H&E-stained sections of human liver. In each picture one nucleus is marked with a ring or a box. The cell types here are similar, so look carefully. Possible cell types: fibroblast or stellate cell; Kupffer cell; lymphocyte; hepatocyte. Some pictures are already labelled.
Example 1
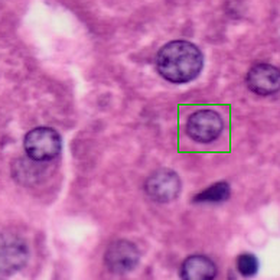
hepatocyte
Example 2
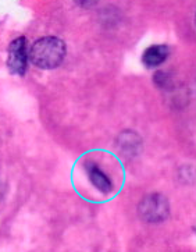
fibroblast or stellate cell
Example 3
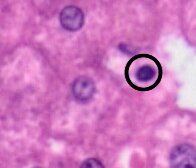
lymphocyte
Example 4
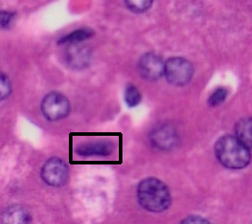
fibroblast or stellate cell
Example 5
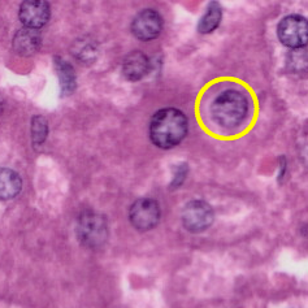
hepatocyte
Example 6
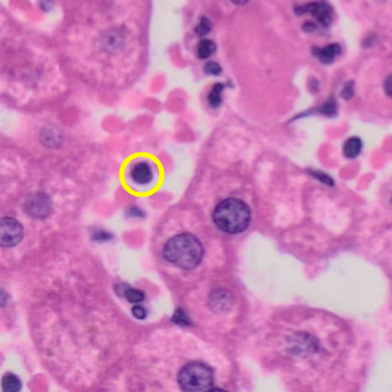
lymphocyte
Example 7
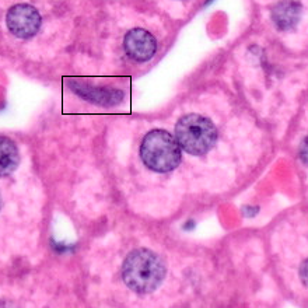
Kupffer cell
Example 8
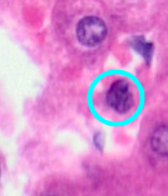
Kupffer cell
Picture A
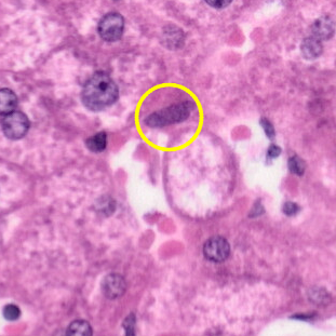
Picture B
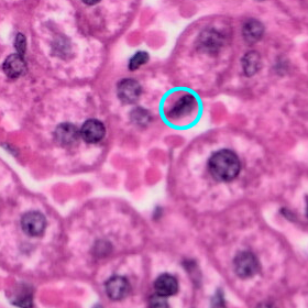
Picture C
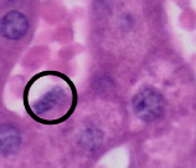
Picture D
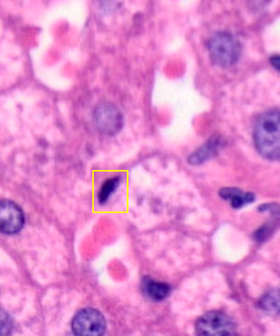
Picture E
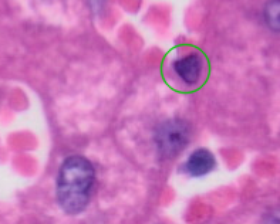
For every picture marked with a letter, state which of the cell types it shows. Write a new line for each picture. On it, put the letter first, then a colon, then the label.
A: Kupffer cell
B: fibroblast or stellate cell
C: Kupffer cell
D: fibroblast or stellate cell
E: fibroblast or stellate cell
